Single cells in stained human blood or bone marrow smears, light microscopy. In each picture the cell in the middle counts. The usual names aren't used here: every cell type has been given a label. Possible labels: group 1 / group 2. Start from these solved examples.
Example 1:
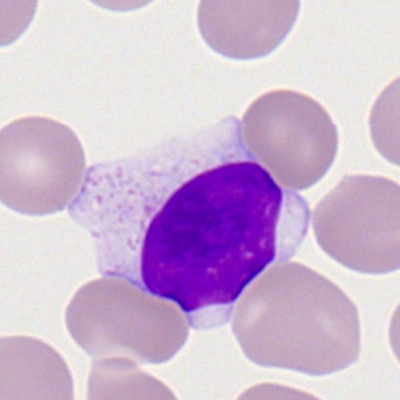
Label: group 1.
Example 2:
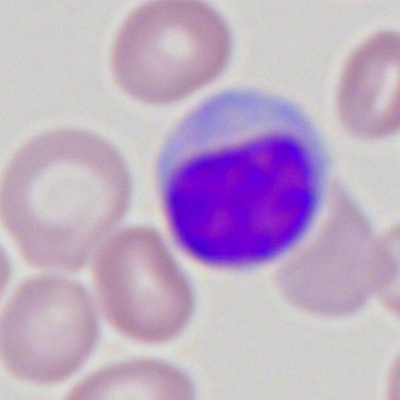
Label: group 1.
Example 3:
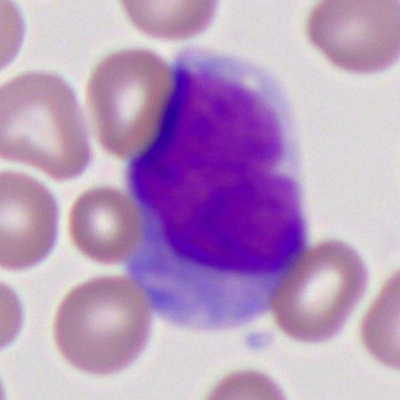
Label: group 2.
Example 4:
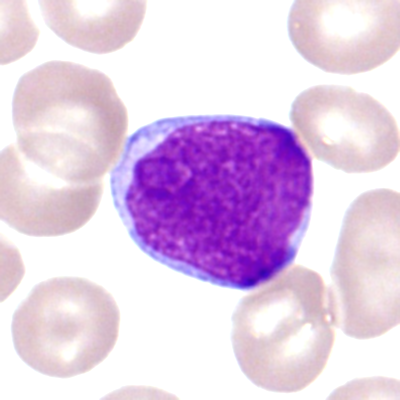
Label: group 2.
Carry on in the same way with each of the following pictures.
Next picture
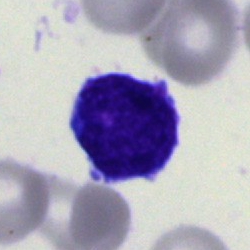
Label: group 2.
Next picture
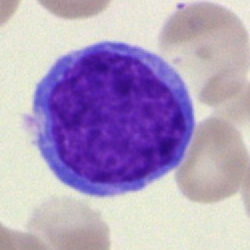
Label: group 2.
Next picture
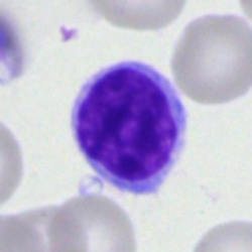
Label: group 1.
